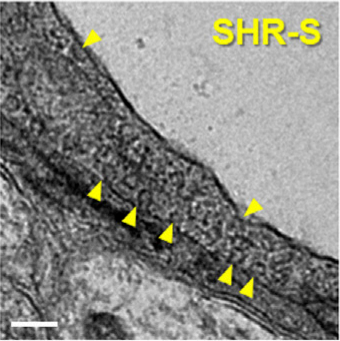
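A thin, elongated endothelial cell lines a pale, electron-lucent capillary lumen at the upper right. Its granular cytoplasm contains several small round vesicles, marked by arrowheads, lying close to the luminal and abluminal membranes, and a dense basement-membrane line runs along its outer border.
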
